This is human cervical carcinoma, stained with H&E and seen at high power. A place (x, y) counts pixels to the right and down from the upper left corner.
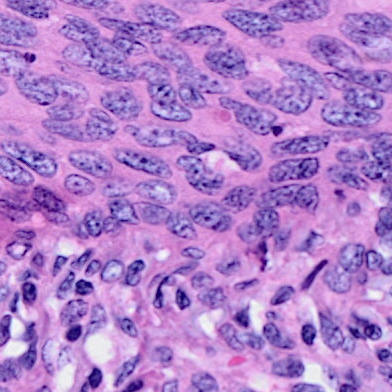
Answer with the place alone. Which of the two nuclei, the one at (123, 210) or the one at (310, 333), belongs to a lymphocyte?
(310, 333)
